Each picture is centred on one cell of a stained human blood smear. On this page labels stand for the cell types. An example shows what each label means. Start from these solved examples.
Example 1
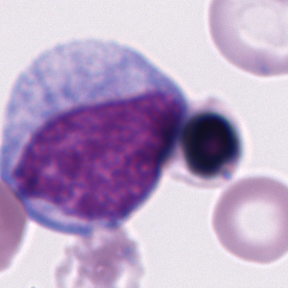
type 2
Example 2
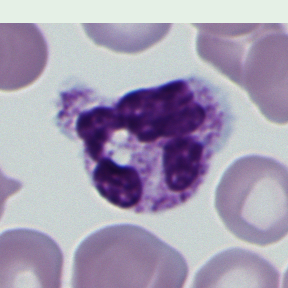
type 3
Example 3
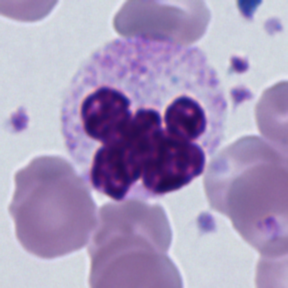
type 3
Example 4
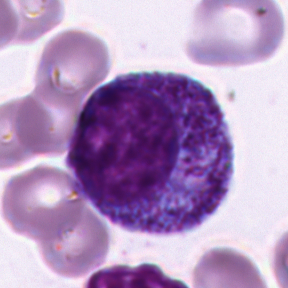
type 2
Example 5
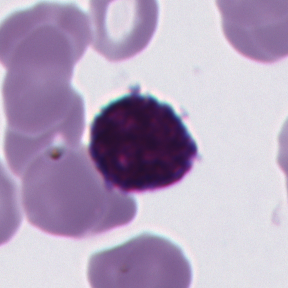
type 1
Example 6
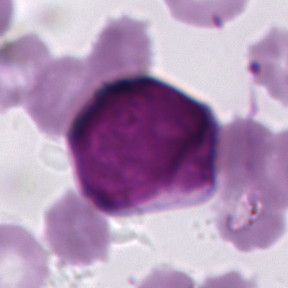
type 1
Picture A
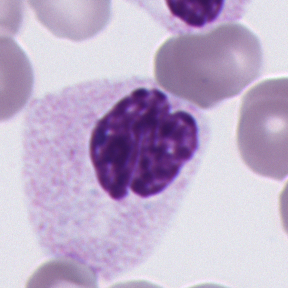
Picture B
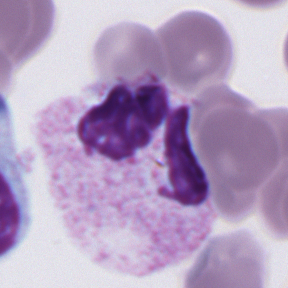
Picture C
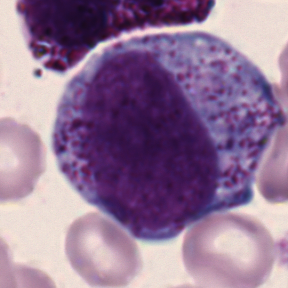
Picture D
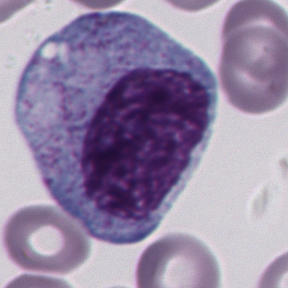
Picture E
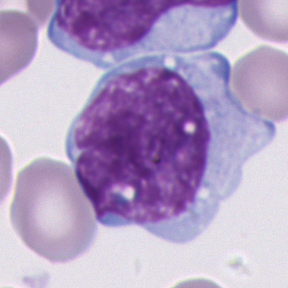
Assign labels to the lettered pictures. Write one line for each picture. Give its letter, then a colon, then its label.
A: type 3
B: type 3
C: type 2
D: type 2
E: type 1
